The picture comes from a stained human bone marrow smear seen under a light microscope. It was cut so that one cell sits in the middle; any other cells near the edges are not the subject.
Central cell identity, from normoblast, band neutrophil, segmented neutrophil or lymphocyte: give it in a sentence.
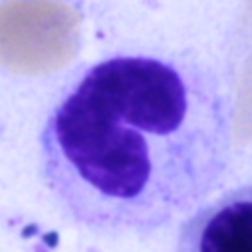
Here the cell in the middle is a band neutrophil.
